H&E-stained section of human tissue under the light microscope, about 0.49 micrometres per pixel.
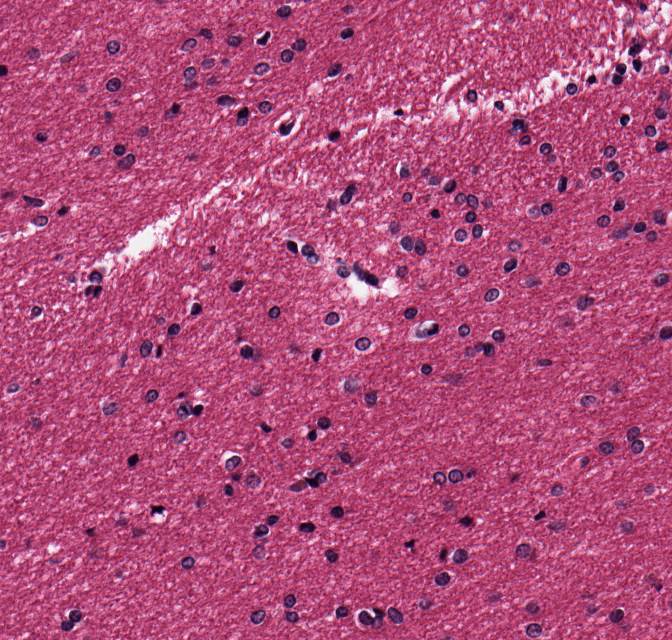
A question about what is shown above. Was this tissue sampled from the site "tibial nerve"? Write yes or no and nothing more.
no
